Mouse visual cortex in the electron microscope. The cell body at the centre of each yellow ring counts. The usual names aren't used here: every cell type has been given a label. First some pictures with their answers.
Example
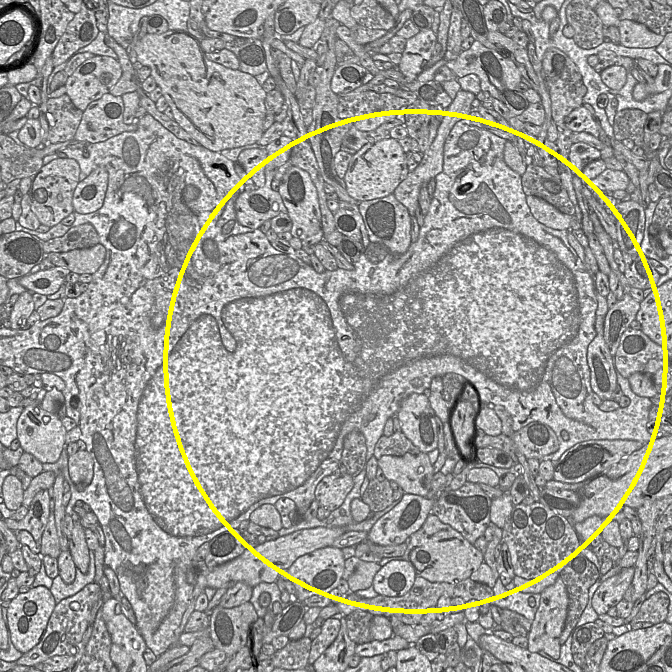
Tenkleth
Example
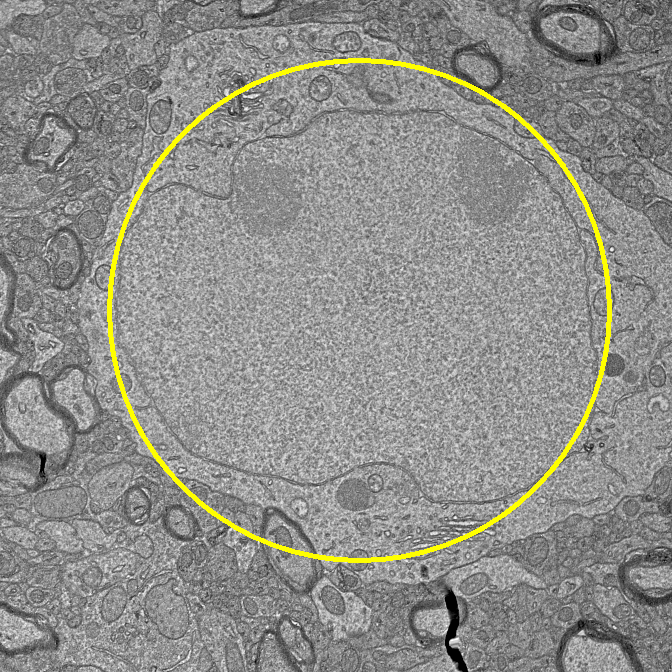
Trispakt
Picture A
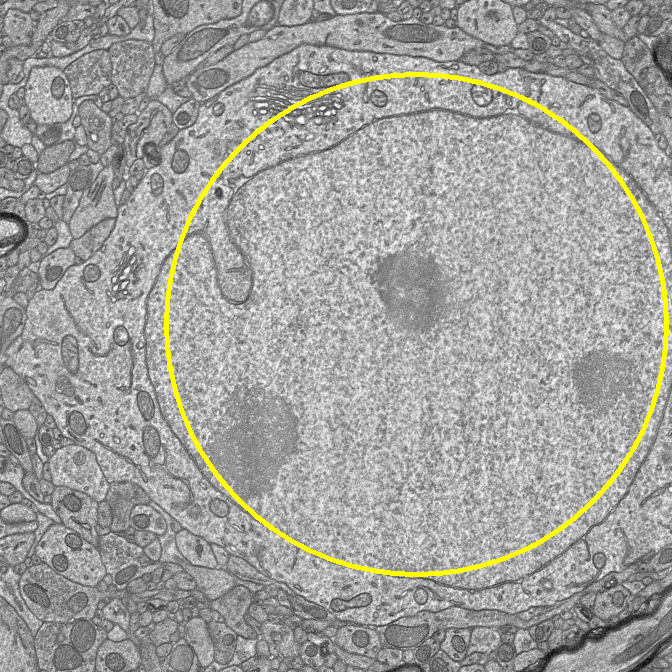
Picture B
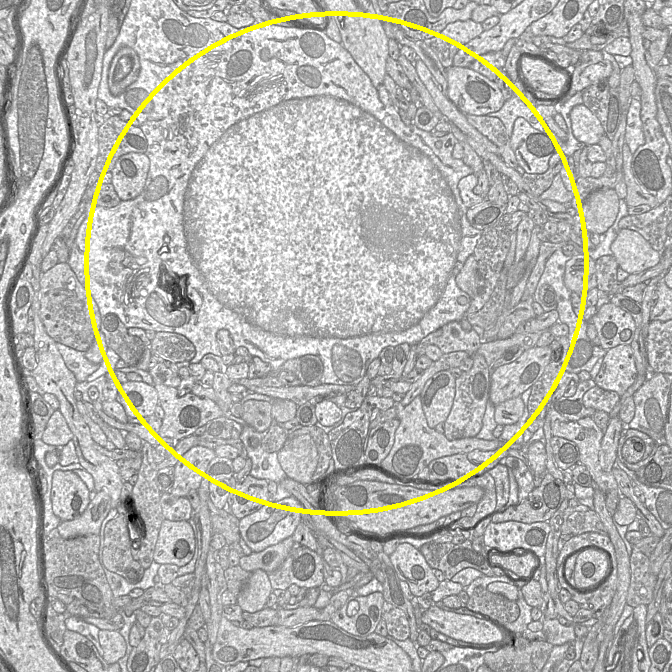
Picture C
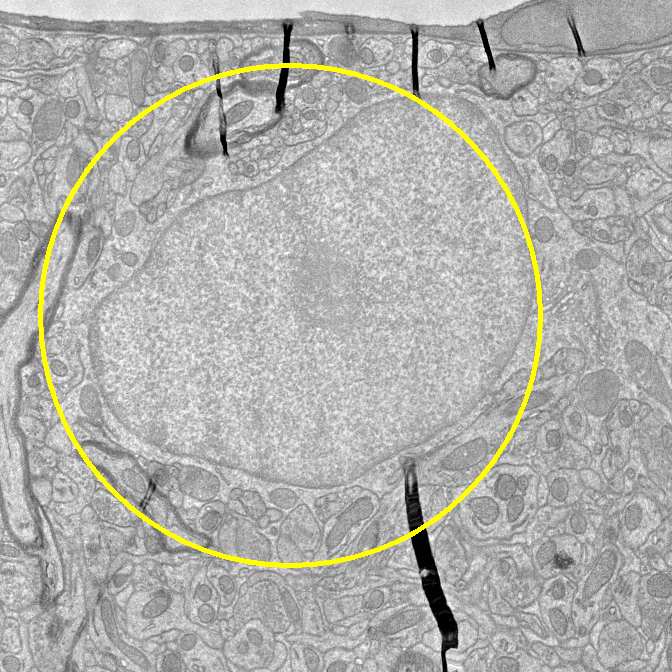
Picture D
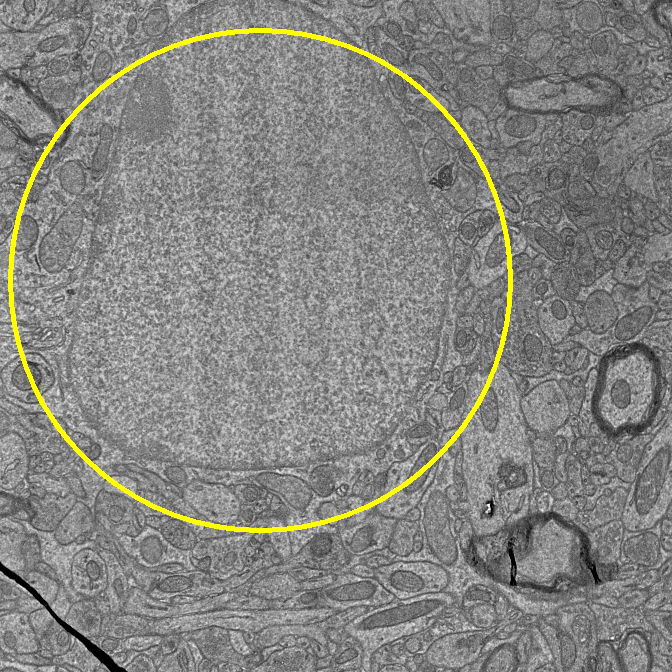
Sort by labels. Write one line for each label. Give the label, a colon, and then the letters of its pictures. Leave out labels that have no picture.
Tenkleth: B, C, D
Trispakt: A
